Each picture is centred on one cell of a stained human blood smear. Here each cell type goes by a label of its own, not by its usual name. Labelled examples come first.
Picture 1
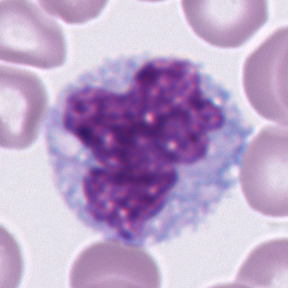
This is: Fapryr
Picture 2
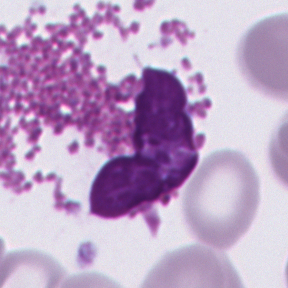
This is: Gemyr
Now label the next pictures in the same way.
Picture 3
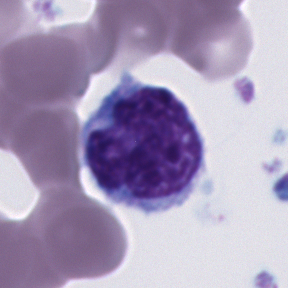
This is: Fapryr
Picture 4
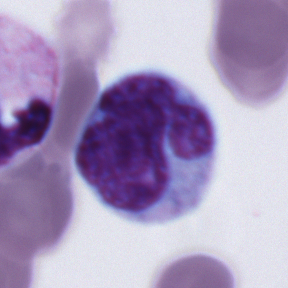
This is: Fapryr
